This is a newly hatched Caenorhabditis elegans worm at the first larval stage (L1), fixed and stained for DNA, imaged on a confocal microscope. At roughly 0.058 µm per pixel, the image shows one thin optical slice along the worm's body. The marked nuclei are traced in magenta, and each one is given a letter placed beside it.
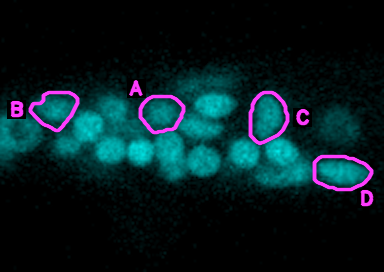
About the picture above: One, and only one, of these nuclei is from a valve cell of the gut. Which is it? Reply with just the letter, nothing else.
C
